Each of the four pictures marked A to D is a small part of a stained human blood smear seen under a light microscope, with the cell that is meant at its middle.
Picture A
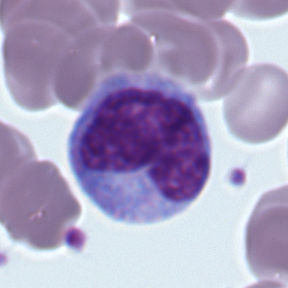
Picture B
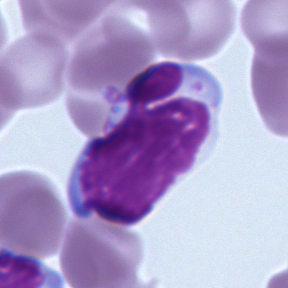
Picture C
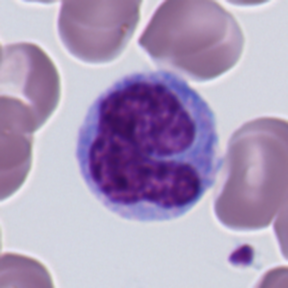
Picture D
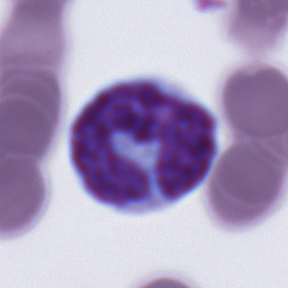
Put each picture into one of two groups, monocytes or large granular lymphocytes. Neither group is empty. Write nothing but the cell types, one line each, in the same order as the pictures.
monocyte
large granular lymphocyte
monocyte
monocyte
